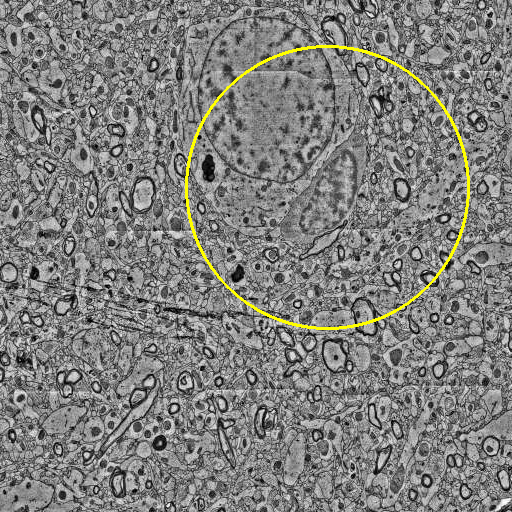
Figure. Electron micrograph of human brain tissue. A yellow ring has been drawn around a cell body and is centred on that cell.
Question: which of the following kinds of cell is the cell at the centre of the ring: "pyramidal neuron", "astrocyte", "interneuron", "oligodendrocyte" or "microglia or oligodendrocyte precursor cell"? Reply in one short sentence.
The cell at the centre of the ring is an oligodendrocyte.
